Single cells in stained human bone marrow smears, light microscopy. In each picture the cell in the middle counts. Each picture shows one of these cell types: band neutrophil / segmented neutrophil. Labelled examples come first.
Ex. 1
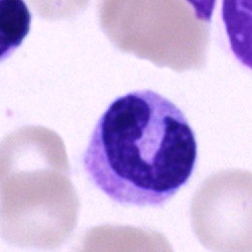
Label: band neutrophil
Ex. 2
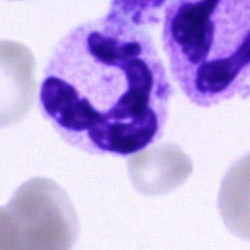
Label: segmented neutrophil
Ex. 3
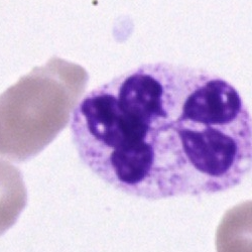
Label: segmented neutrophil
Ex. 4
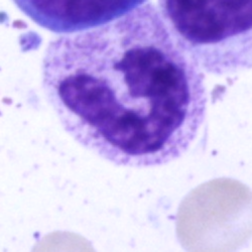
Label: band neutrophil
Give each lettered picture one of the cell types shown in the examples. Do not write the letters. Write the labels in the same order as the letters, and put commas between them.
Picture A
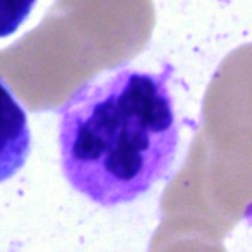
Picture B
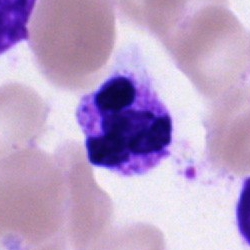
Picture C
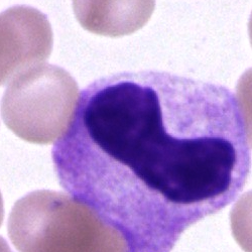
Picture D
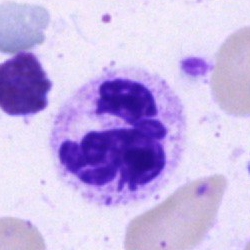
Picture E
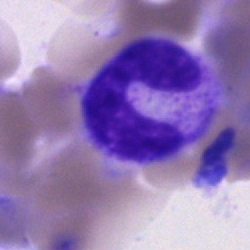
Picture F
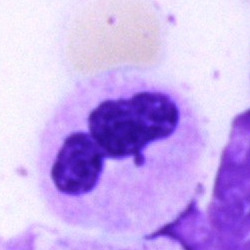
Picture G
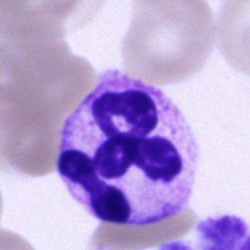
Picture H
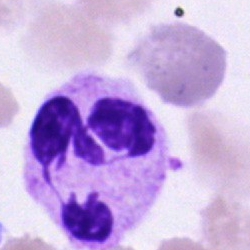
segmented neutrophil, segmented neutrophil, band neutrophil, segmented neutrophil, band neutrophil, segmented neutrophil, segmented neutrophil, segmented neutrophil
